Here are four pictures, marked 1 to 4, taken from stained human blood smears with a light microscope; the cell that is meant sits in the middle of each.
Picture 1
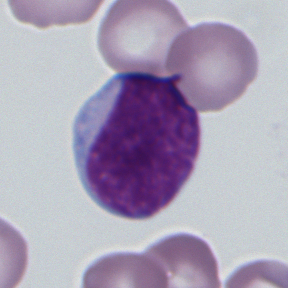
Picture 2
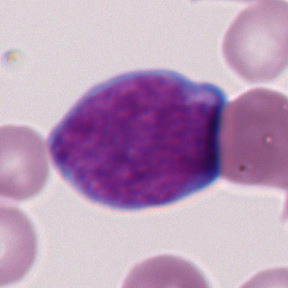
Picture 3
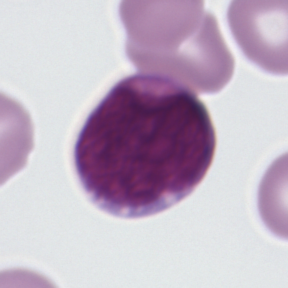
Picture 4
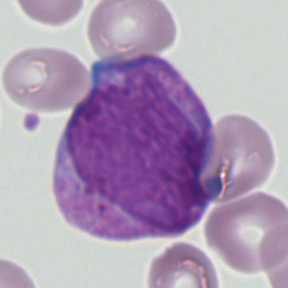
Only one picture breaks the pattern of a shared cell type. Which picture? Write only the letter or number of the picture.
4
